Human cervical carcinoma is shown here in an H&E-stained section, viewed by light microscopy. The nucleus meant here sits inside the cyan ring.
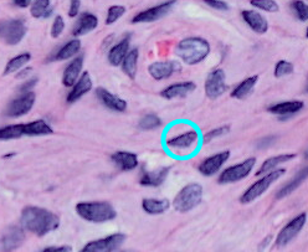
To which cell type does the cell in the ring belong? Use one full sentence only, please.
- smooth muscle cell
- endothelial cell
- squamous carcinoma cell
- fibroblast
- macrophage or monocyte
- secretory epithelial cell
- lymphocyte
In cell-type terms, the cell in the ring is a fibroblast.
